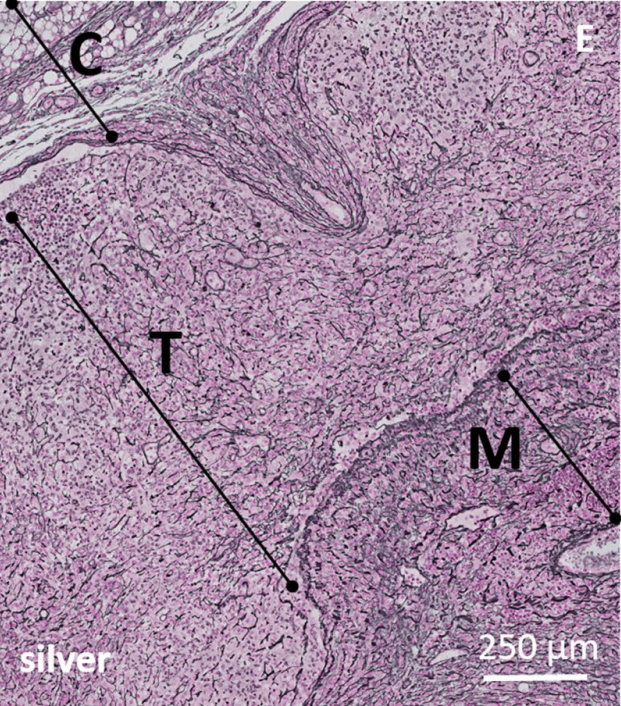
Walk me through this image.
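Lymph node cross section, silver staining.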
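Along the upper left edge they are packed into dense, parallel, wavy bundles that form the capsule, and above it lie loose connective tissue and rounded empty spaces. A broad middle zone shows a looser, more even mesh. Towards the lower right the fibres again become denser and more tangled, around small vessel-like openings.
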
